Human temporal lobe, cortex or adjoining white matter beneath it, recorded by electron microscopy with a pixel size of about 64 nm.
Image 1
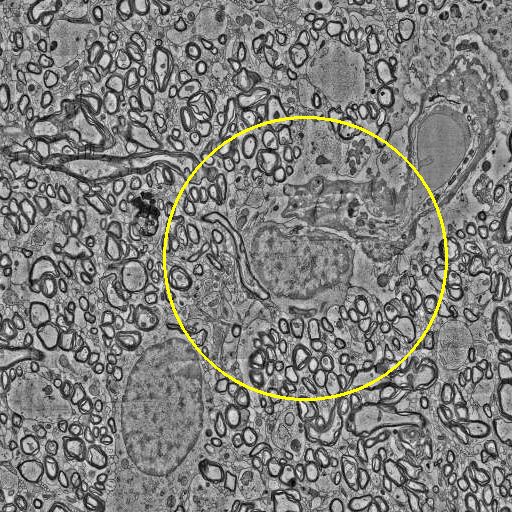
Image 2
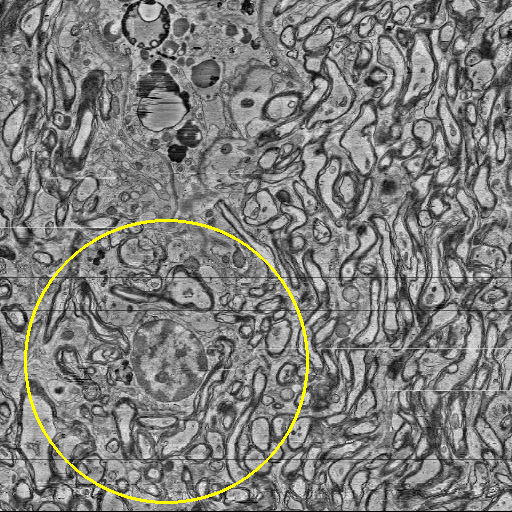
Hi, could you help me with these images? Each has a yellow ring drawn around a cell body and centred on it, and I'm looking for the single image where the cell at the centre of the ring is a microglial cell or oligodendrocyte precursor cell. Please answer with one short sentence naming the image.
It is Image 2 that has it at the centre of its ring.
